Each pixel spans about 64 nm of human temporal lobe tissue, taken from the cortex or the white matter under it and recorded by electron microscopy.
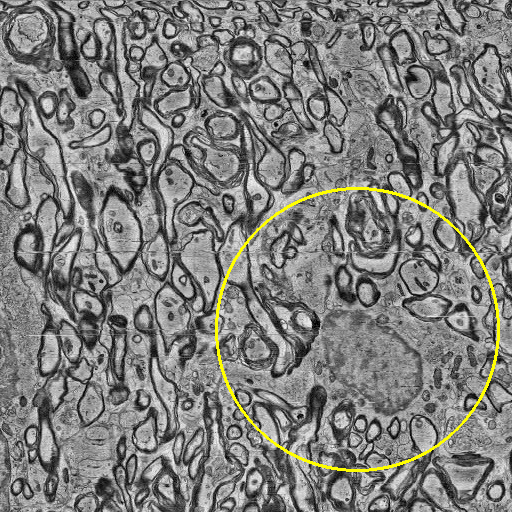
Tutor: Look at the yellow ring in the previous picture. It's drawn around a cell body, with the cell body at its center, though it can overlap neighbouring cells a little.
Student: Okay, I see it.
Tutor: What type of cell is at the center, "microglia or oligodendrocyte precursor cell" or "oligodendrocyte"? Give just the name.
oligodendrocyte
